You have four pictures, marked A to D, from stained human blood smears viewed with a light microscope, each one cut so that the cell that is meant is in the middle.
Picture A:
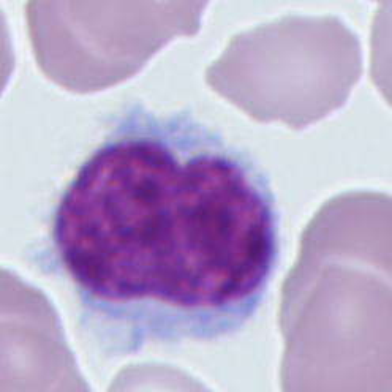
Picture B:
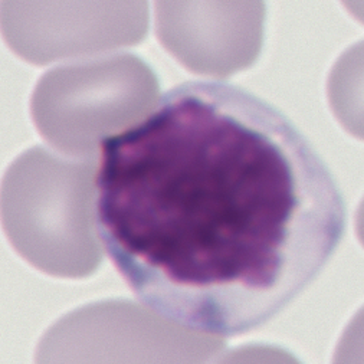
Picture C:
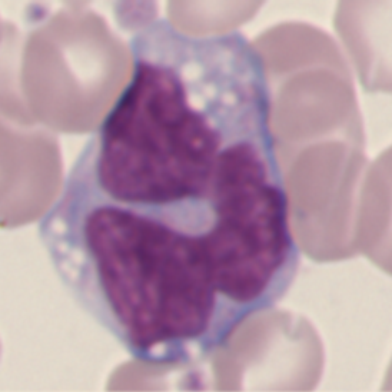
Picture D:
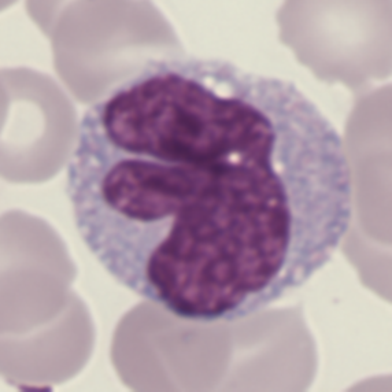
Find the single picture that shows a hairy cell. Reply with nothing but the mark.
A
